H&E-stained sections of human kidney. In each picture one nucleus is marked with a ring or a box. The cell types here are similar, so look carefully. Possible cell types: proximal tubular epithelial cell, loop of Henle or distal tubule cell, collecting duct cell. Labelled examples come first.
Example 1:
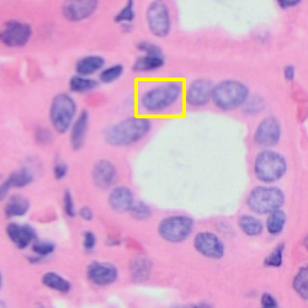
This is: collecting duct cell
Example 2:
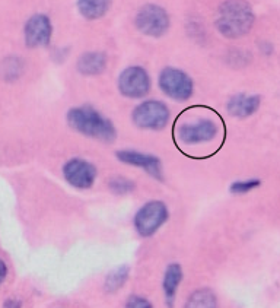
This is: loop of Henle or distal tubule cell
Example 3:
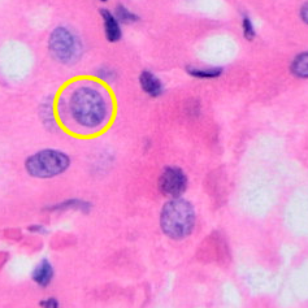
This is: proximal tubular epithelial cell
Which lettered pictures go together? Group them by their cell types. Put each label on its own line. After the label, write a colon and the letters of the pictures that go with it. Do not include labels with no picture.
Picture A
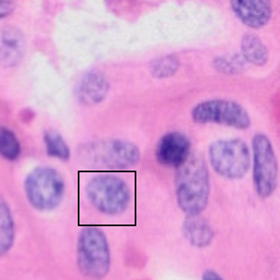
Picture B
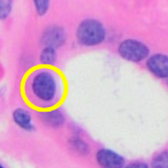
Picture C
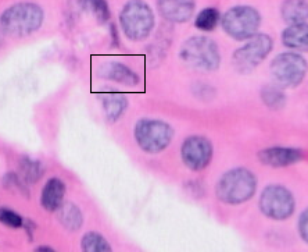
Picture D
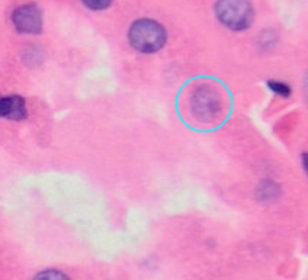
proximal tubular epithelial cell: D
collecting duct cell: A, B, C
